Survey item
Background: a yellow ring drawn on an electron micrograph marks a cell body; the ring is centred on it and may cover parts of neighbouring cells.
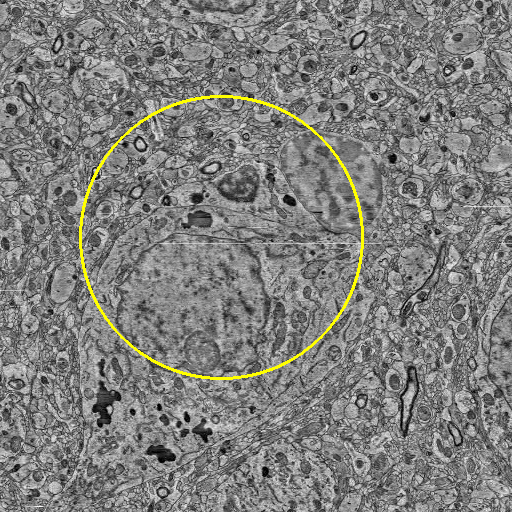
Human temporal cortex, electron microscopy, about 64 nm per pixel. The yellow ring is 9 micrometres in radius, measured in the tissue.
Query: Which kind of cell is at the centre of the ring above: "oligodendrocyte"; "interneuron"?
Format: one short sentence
The cell in the middle of the ring is an interneuron.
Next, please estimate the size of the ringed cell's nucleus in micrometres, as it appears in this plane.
In this plane the ringed cell's nucleus is roughly 10 micrometres across.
